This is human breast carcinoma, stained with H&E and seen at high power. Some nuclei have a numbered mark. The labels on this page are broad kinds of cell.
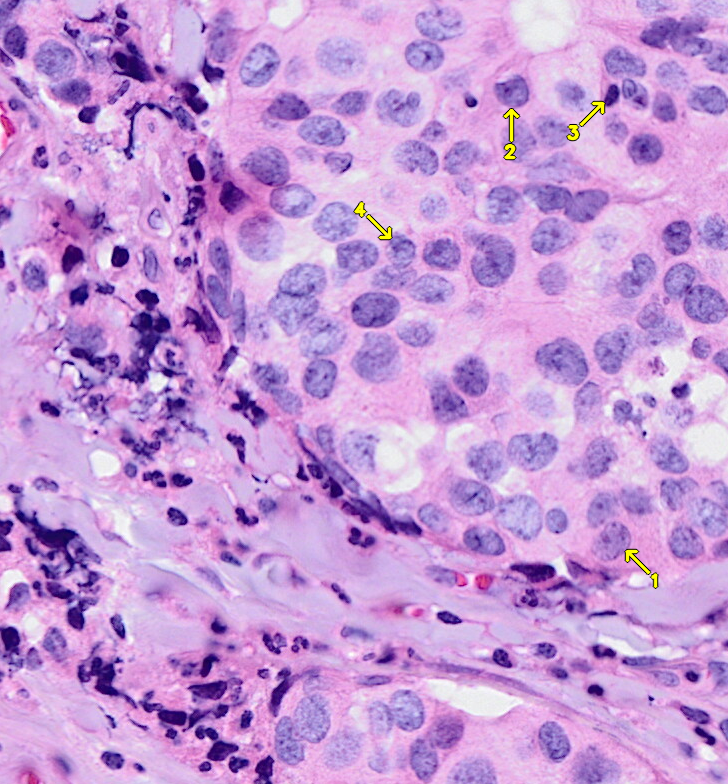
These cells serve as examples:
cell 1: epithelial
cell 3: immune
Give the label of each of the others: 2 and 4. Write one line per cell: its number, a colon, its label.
2: epithelial
4: epithelial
